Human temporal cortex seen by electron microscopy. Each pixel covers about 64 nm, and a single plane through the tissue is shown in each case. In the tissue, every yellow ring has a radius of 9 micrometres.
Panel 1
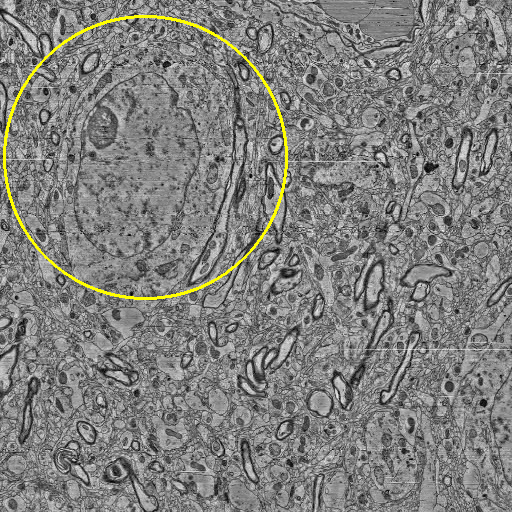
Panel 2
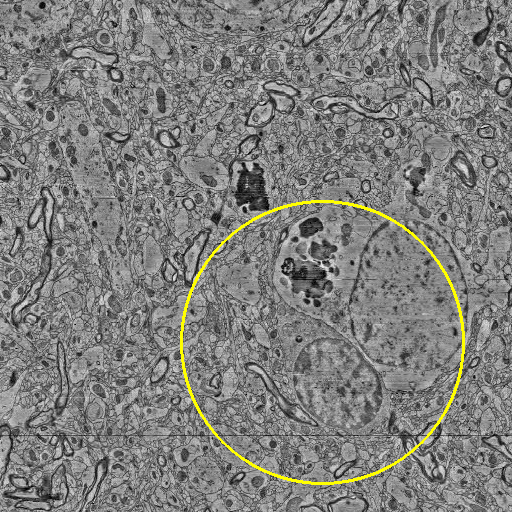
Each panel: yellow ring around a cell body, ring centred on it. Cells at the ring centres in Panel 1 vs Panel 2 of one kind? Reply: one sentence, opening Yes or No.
No, Panel 1 and Panel 2 have cells of two kinds at the ring centres.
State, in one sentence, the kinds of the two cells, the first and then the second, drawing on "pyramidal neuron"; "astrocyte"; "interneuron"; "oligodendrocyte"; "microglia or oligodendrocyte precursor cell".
The ring in the second picture is centred on an oligodendrocyte, the ring in the first on a pyramidal neuron.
